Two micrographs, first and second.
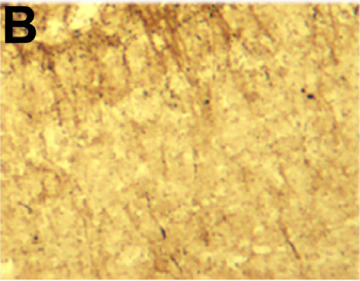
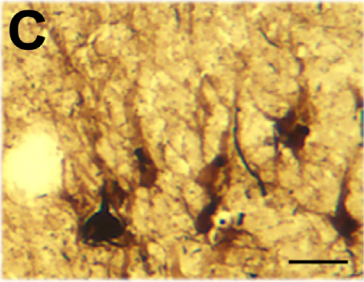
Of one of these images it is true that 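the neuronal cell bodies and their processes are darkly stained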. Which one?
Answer: the second image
